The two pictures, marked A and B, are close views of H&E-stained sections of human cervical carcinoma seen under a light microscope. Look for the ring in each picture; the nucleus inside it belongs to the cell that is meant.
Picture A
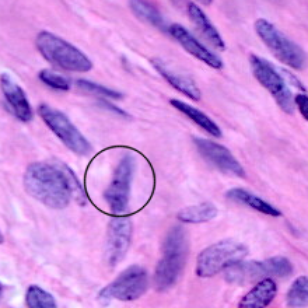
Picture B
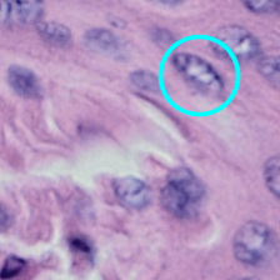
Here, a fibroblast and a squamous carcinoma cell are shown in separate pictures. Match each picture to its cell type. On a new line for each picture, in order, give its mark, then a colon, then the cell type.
A: fibroblast
B: squamous carcinoma cell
